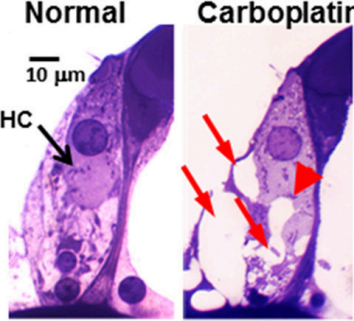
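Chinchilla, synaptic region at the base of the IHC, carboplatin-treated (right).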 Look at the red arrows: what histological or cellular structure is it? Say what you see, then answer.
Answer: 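The red arrows in the right image point to large clear, empty-looking spaces. These clear spaces lie below and beside the base of the hair cell. The left image has no such large clear spaces. That points to this answer: large vacuoles.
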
